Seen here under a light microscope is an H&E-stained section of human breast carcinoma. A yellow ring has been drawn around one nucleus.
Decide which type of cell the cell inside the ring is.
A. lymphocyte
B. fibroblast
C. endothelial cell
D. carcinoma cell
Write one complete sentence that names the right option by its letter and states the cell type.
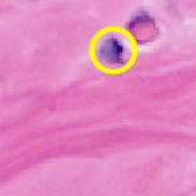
The accurate option is C, with the cell inside the ring being an endothelial cell.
